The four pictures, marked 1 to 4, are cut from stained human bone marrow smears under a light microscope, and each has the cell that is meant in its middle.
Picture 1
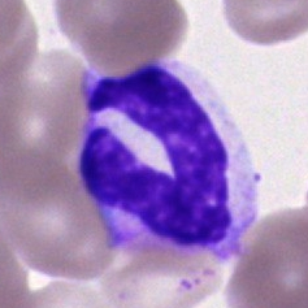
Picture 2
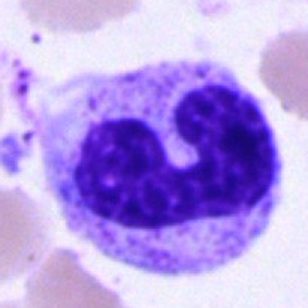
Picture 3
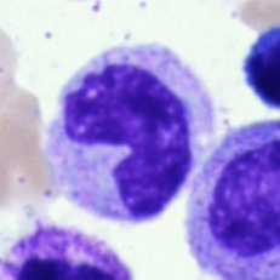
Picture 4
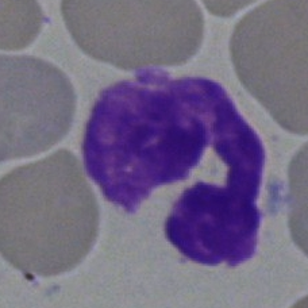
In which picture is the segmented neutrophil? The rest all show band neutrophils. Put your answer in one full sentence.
The cell in picture 4 is the segmented neutrophil.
